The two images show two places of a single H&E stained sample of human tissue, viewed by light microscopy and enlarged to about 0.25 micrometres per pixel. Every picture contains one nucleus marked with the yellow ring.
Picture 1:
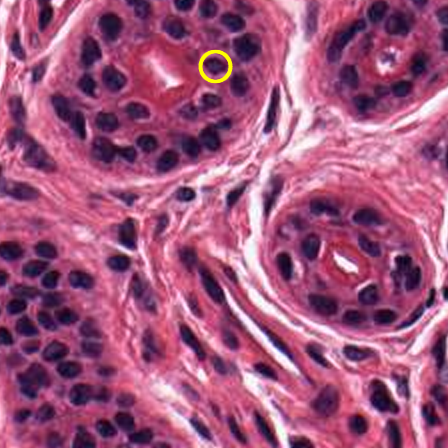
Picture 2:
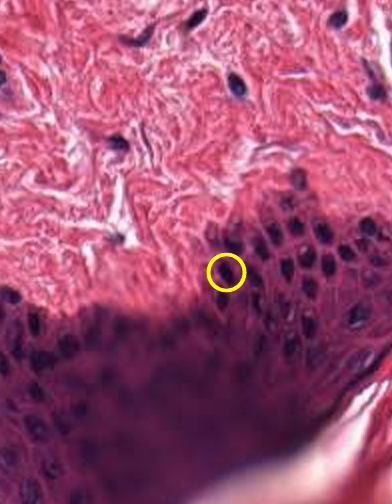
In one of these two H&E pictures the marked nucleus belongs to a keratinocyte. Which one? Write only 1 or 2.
2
